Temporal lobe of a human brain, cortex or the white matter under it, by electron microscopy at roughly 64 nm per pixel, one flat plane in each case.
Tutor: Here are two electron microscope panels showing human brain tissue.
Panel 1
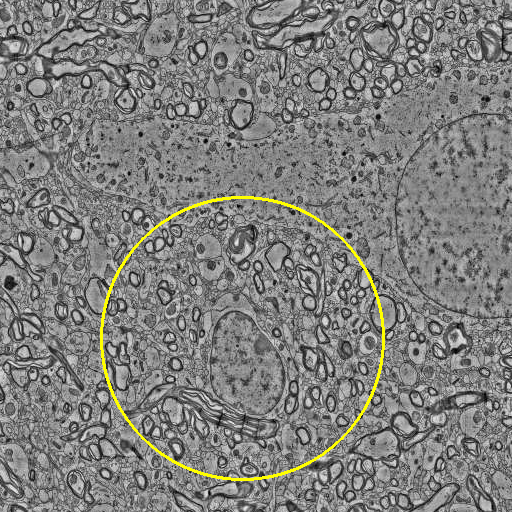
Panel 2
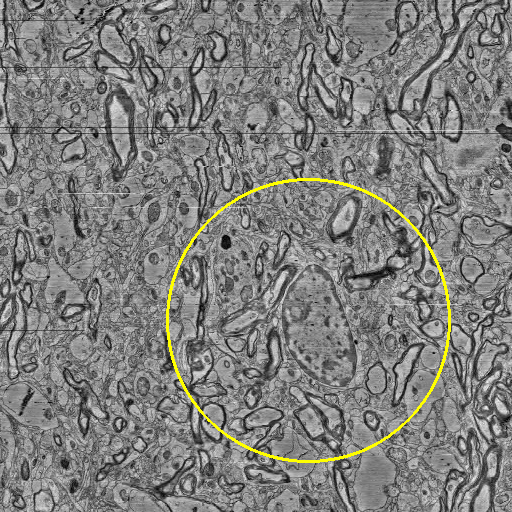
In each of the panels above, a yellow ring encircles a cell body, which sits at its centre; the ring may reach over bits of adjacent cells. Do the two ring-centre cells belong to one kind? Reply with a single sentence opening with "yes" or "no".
Yes, the two cells sitting at the ring centres in the panels belong to one kind.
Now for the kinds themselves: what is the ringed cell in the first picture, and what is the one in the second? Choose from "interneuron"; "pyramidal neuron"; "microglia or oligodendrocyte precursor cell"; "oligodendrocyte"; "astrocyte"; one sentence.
Both rings mark a microglial cell or oligodendrocyte precursor cell, one in each picture.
